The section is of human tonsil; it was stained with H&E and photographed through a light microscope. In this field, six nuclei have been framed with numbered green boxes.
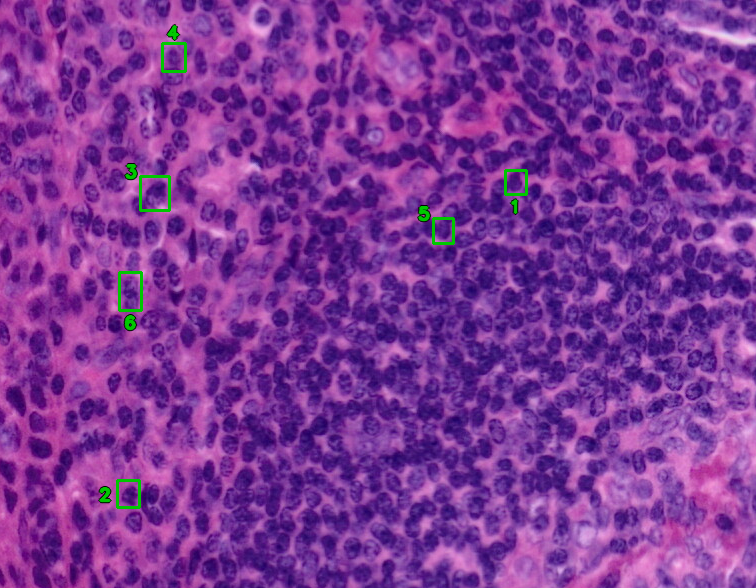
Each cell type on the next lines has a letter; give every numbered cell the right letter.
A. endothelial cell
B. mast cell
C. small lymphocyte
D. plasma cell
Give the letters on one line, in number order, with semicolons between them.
C; D; D; D; C; D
